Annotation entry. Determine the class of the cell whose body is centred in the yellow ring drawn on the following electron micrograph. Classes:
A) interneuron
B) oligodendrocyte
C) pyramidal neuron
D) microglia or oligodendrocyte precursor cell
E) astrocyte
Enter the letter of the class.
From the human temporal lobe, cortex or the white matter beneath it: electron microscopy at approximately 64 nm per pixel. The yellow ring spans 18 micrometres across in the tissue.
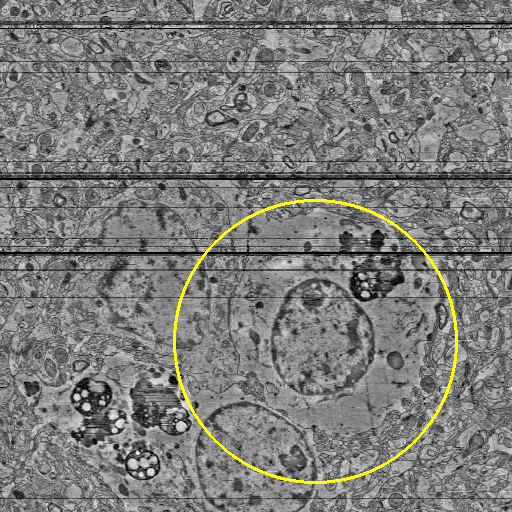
E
